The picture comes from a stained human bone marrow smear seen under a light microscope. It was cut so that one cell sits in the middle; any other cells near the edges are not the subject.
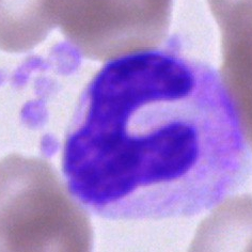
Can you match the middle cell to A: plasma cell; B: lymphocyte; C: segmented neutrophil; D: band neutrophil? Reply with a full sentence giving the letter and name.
The cell centred in the crop is a band neutrophil, and the correct option is thus D.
